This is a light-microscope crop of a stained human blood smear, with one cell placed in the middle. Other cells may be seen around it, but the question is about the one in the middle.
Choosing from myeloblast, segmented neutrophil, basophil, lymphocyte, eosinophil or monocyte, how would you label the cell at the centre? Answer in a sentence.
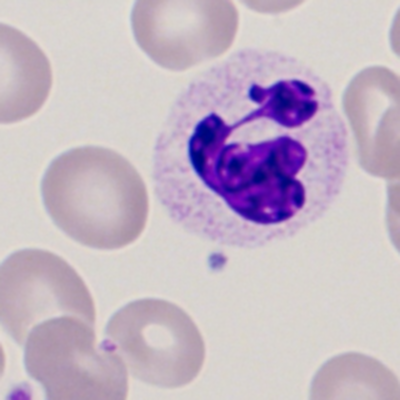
Among the cells in view, the one in the middle is a segmented neutrophil.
